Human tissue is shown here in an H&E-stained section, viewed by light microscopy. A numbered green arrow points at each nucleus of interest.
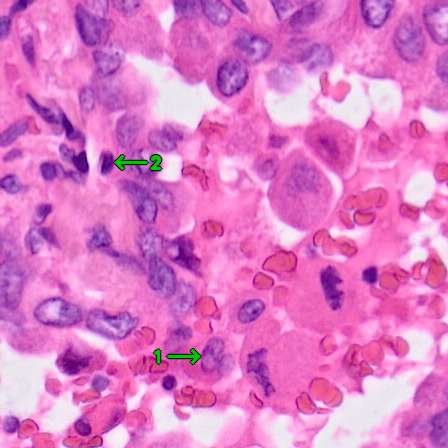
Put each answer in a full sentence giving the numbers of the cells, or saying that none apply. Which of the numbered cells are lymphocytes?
Response: cell 2 is a lymphocyte, and no other numbered cell is.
